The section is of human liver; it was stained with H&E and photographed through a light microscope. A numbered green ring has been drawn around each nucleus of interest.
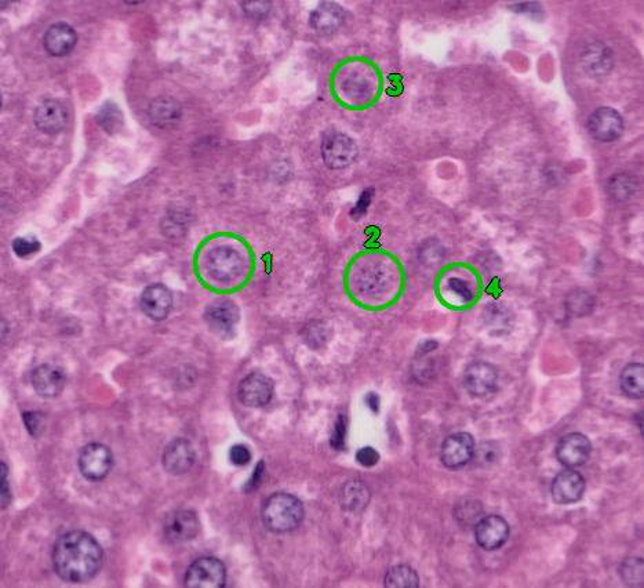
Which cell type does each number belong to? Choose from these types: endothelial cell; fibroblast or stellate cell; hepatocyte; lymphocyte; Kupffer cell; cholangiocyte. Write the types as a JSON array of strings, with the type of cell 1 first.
["hepatocyte", "hepatocyte", "hepatocyte", "endothelial cell"]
